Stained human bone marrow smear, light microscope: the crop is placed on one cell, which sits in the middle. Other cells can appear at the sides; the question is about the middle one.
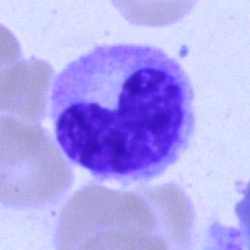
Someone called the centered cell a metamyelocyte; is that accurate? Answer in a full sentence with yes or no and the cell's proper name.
Yes, the cell of interest in the middle is a metamyelocyte.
